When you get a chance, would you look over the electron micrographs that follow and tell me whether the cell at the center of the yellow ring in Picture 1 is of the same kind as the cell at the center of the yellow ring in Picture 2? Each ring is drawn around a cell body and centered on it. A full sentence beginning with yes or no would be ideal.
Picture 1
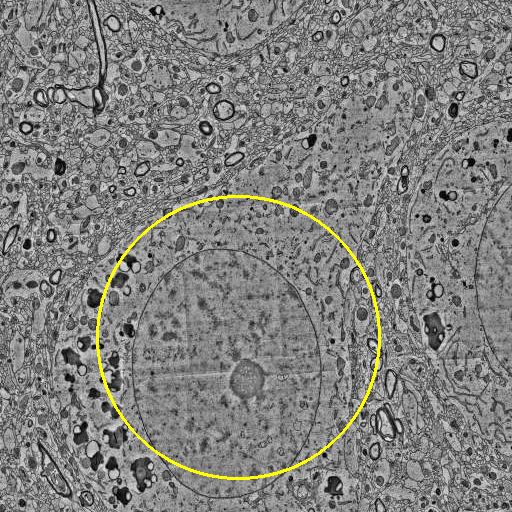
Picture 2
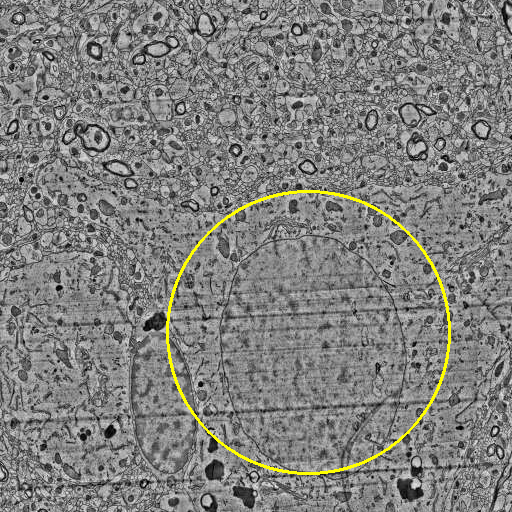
Yes, the two cells are of the same kind.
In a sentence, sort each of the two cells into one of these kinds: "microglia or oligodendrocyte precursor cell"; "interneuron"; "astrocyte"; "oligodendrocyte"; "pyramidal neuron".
In the first picture and in the second, the ring is centred on a pyramidal neuron.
